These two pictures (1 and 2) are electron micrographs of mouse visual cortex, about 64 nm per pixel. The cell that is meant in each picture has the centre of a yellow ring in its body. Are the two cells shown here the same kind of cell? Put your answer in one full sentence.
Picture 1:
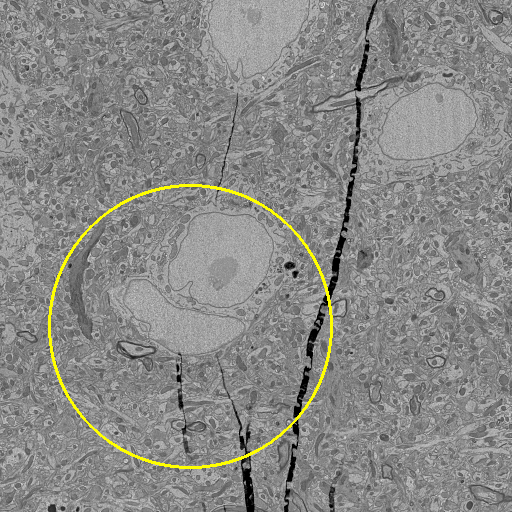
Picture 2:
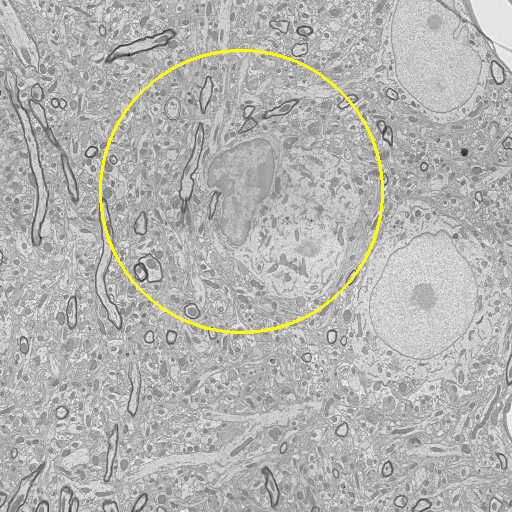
No, picture 1 shows an oligodendrocyte precursor cell and picture 2 shows a microglial cell.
